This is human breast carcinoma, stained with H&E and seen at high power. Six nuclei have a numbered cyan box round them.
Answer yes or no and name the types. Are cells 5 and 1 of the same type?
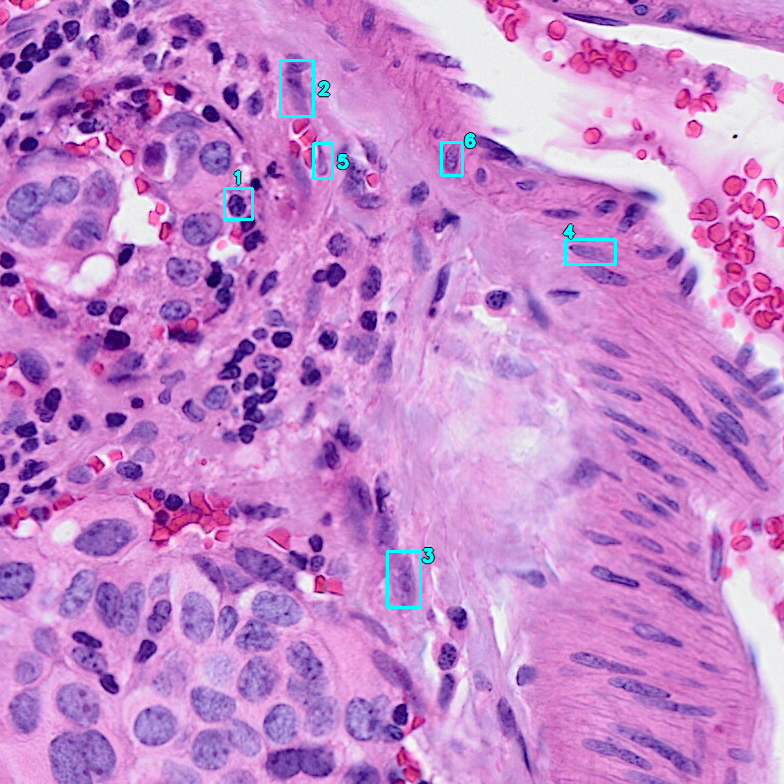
No, cell 5 is an endothelial cell and cell 1 is a lymphocyte.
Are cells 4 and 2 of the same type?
No, cell 4 is an endothelial cell and cell 2 is a fibroblast.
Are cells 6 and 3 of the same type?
No, cell 6 is an endothelial cell and cell 3 is a fibroblast.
